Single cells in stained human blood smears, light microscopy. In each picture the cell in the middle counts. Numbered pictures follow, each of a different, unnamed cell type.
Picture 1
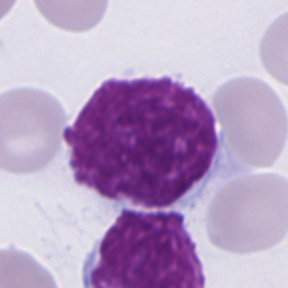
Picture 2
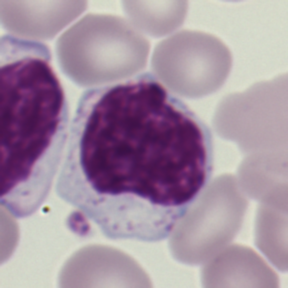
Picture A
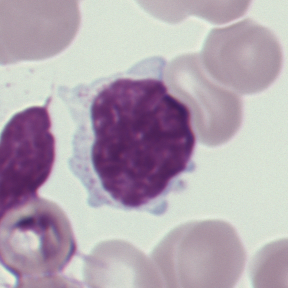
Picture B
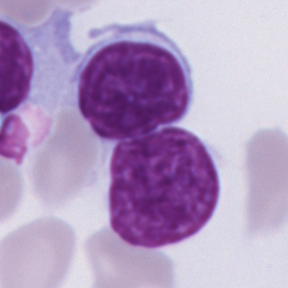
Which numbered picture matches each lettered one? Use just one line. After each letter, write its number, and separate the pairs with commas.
A 2, B 1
